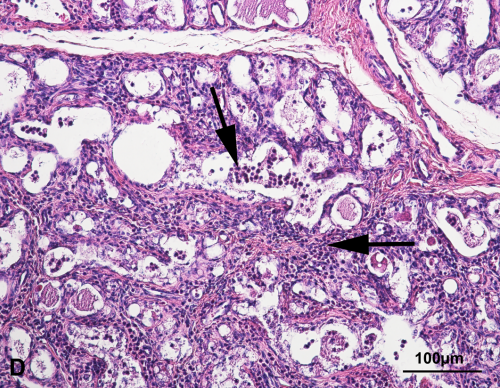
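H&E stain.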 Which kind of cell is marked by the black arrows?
Neutrophils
